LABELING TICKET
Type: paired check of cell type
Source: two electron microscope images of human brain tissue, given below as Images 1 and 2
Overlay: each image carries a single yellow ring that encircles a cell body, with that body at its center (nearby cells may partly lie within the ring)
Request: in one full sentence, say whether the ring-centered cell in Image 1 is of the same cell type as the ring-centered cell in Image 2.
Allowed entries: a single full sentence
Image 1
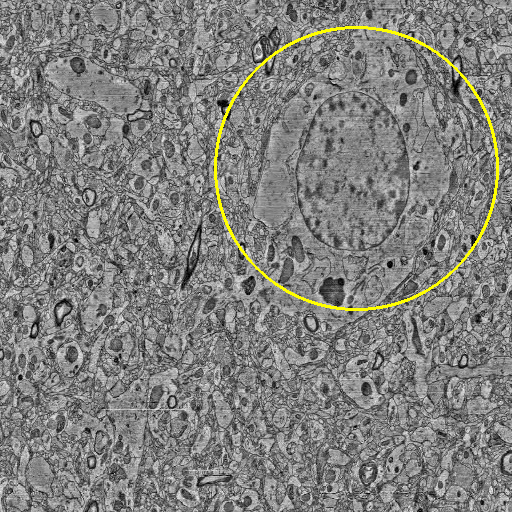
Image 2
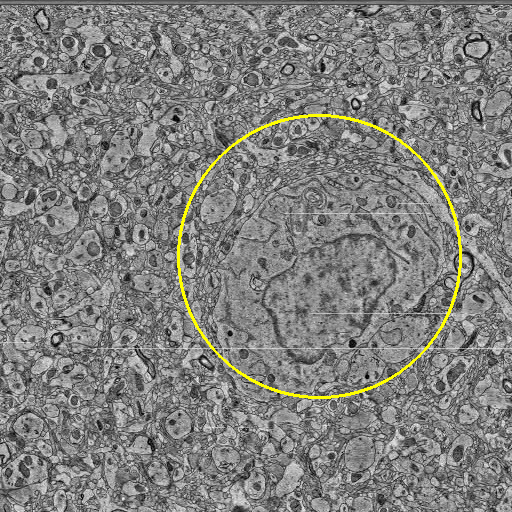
No, the cells centered in the rings of Image 1 and Image 2 are of two types.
